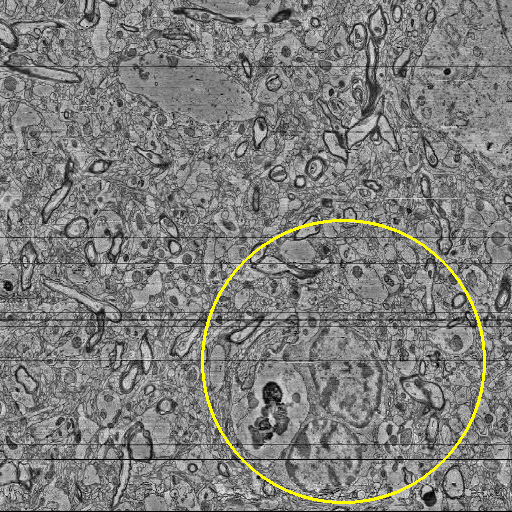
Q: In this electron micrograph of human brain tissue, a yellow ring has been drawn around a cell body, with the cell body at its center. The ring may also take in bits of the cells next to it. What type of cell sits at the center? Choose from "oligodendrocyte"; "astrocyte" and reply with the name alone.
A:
oligodendrocyte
